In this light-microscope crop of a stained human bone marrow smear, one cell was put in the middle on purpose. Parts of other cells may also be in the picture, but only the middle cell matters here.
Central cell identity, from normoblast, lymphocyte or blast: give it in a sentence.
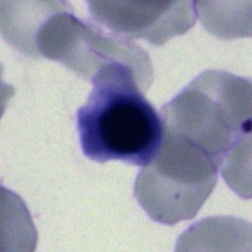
The cell sitting right in the middle is a normoblast.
